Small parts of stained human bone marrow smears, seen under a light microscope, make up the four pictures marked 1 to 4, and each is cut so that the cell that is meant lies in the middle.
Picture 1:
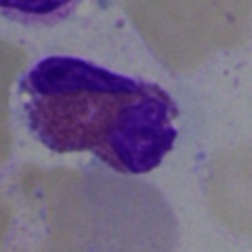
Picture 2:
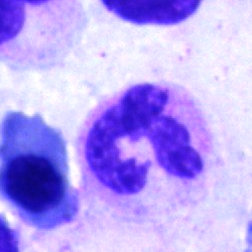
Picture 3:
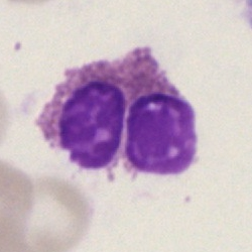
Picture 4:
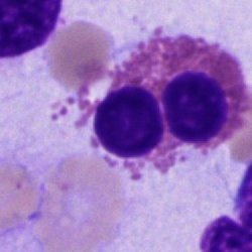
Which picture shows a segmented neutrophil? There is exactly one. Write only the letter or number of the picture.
2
